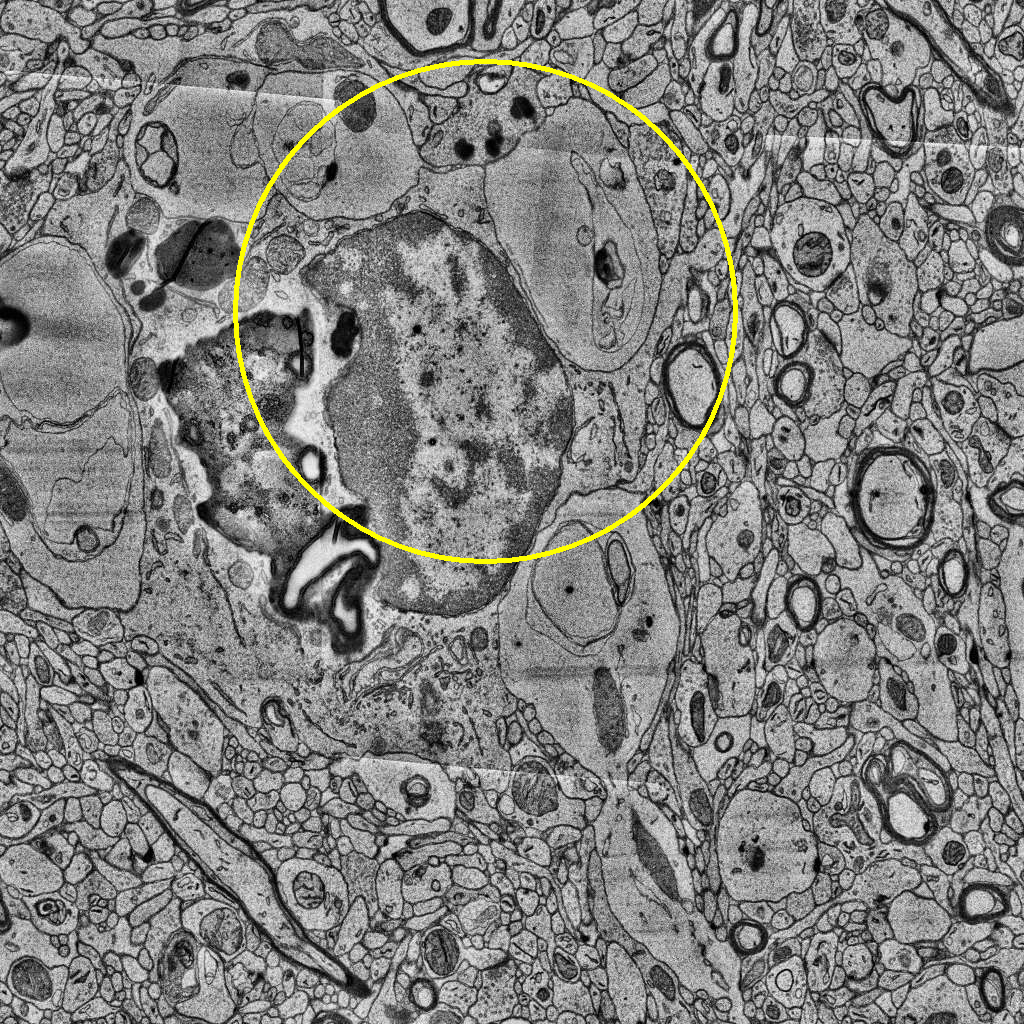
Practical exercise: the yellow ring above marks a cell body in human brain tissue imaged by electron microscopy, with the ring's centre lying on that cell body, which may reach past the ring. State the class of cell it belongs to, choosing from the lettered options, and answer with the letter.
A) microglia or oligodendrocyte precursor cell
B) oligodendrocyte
A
